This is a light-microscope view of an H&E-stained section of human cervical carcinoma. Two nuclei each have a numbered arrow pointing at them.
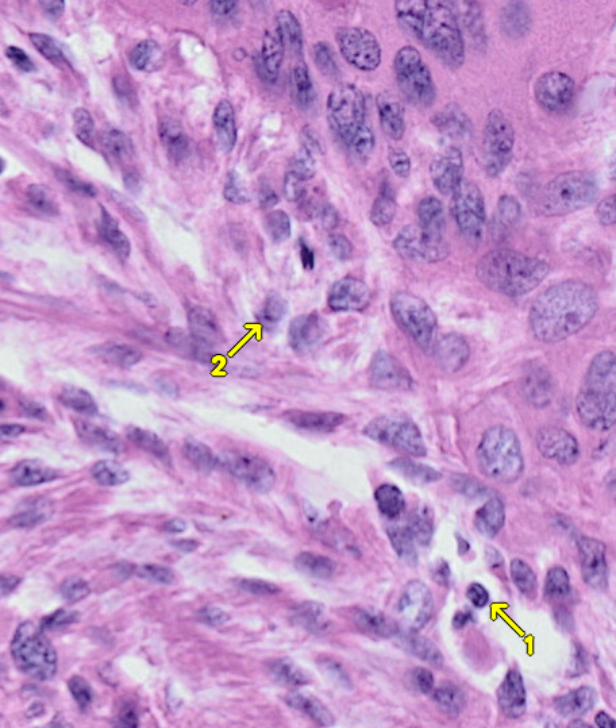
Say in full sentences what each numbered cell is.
Cell 1 is a lymphocyte and cell 2 is a fibroblast.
